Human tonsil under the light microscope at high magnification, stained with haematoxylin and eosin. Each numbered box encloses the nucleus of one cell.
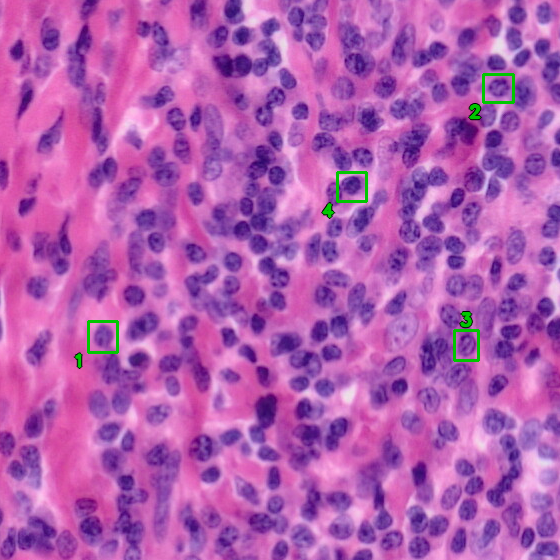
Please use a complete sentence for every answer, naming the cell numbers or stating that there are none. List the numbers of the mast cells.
Among the numbered cells, cell 1 alone is a mast cell.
